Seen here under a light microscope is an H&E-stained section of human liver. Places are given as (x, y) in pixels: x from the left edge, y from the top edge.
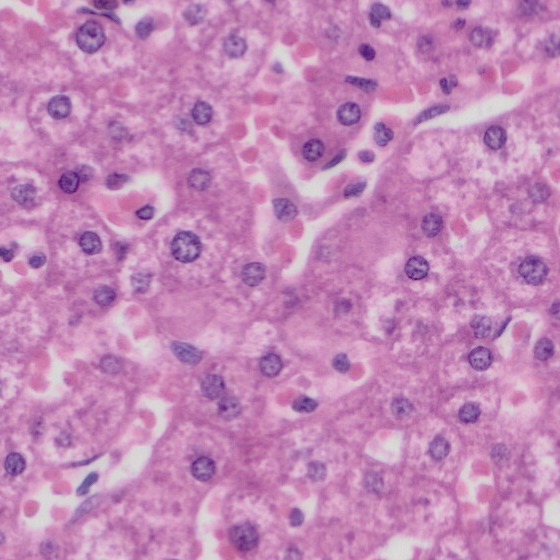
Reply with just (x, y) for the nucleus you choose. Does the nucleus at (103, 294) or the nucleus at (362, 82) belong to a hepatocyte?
(103, 294)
